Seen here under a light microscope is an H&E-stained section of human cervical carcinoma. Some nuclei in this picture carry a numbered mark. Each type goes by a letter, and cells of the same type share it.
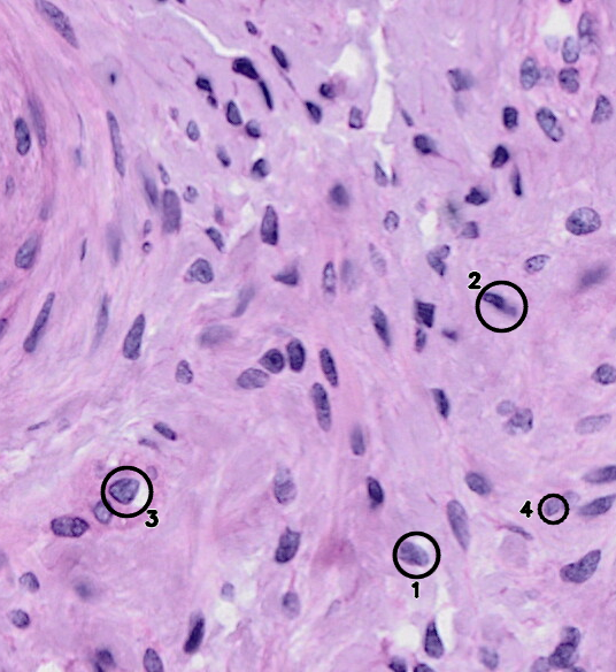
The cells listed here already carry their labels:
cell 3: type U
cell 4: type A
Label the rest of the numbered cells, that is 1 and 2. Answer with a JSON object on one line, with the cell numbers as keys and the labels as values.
{"1": "type A", "2": "type A"}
